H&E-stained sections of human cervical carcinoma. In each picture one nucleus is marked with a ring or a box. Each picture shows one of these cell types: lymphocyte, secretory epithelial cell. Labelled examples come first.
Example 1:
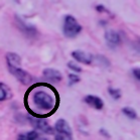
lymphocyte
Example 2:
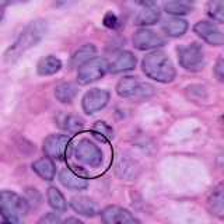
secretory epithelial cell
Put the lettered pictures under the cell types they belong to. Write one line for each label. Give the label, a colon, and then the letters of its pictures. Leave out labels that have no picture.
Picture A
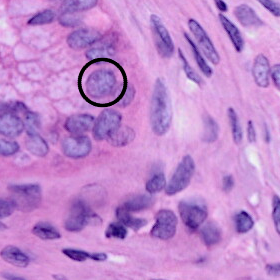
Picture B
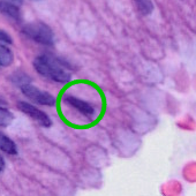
secretory epithelial cell: A, B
